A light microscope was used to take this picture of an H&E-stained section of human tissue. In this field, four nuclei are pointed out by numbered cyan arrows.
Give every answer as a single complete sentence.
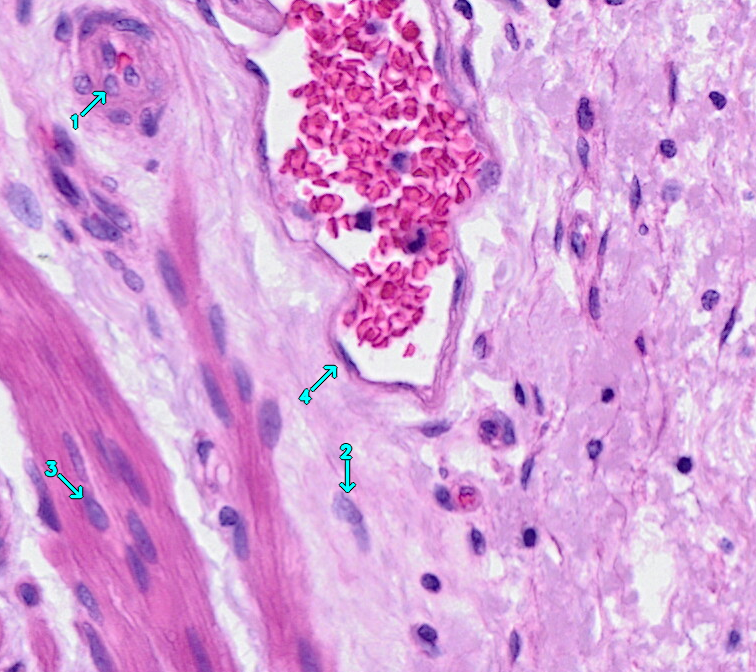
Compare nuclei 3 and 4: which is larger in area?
Number 3 is larger; its area is about 2 times that of number 4.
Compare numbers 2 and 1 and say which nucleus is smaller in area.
Nucleus 1 is the smaller one; nucleus 2 covers about 2.5 times its area.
